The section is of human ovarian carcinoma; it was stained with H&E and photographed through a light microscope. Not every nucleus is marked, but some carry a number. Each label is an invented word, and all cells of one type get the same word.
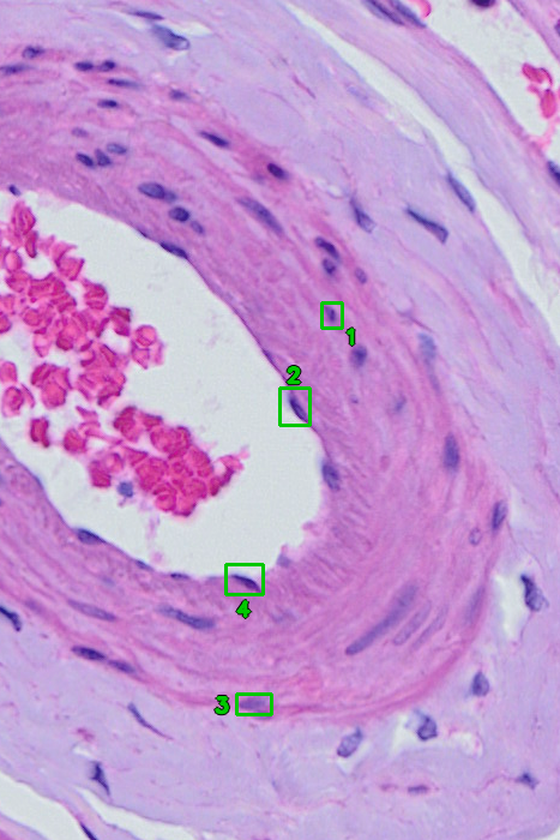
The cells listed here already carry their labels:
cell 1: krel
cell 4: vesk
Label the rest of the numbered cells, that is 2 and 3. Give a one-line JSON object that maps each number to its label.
{"2": "vesk", "3": "krel"}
